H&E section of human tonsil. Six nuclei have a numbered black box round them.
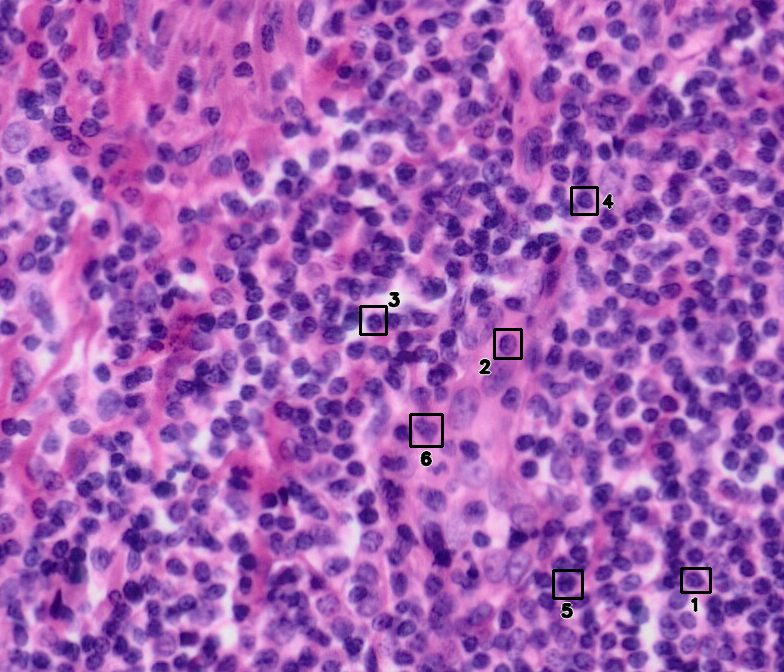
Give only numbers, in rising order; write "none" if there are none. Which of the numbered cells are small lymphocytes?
1, 3, 4, 5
